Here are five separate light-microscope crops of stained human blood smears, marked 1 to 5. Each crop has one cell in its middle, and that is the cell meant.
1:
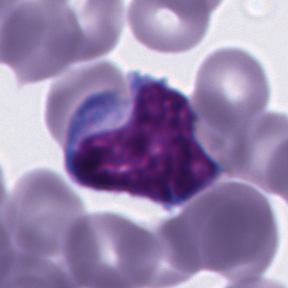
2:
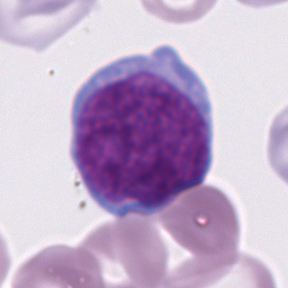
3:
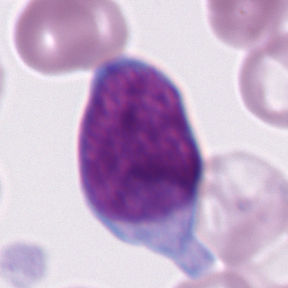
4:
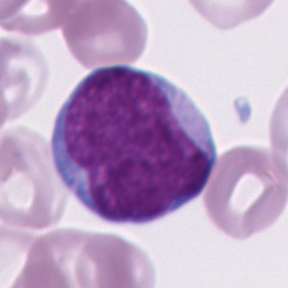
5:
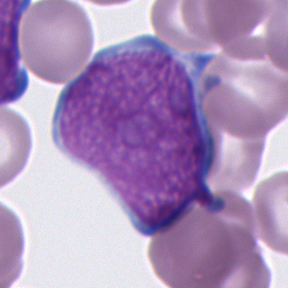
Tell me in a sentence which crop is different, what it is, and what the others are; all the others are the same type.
Crop 1 is the only crop with a typical lymphocyte, the others all showing myeloblasts.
